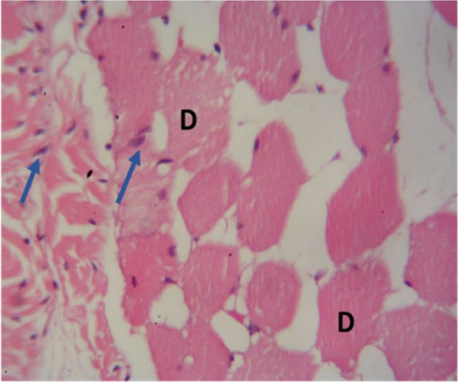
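Skeletal muscle in which many fibres are smaller and more irregular in shape than usual, with unevenly stained, streaked pink cytoplasm broken by pale clefts. The spaces between fibres are wide in places. On the left, wavy pink strands are crowded with small dark purple nuclei, and more such nuclei are scattered between the fibres. These are degenerating muscle fibres with an inflammatory infiltrate among them.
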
